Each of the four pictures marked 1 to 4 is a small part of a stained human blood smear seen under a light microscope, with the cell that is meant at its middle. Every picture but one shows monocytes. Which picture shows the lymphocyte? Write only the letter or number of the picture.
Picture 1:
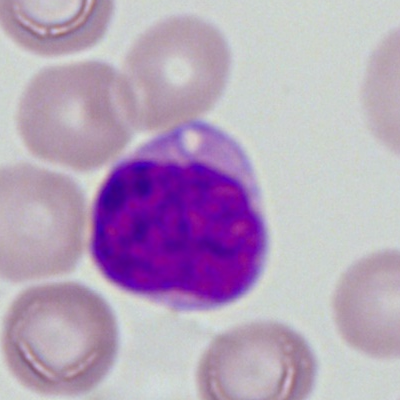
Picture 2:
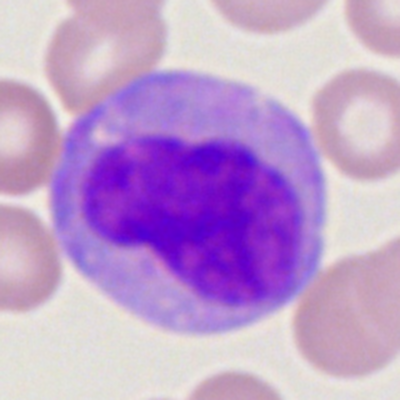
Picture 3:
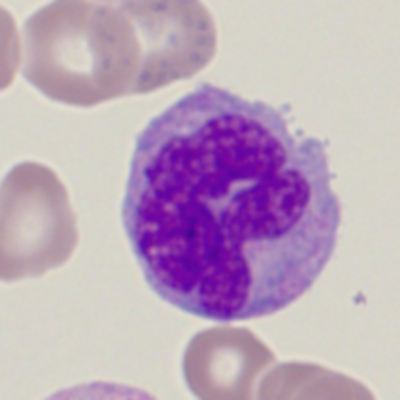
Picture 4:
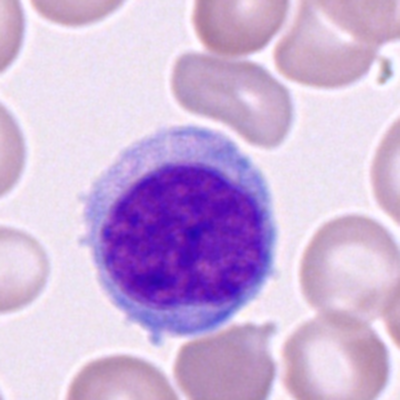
1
